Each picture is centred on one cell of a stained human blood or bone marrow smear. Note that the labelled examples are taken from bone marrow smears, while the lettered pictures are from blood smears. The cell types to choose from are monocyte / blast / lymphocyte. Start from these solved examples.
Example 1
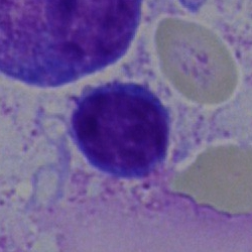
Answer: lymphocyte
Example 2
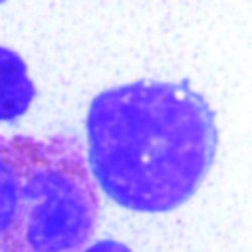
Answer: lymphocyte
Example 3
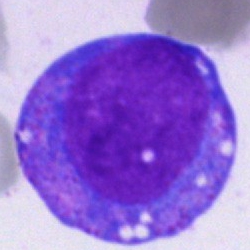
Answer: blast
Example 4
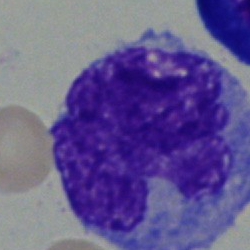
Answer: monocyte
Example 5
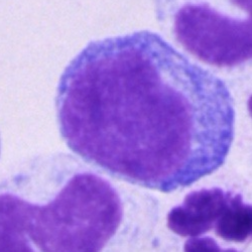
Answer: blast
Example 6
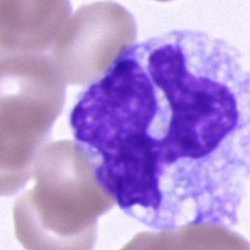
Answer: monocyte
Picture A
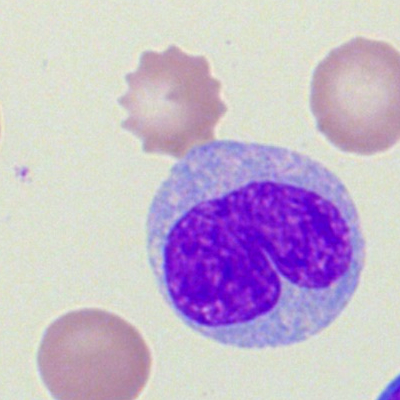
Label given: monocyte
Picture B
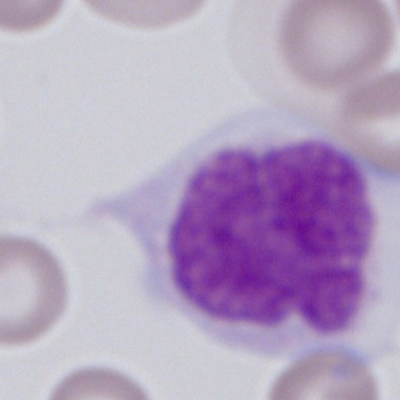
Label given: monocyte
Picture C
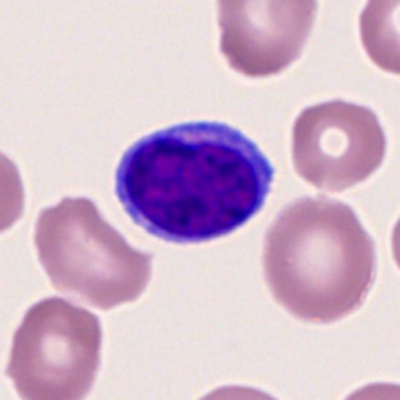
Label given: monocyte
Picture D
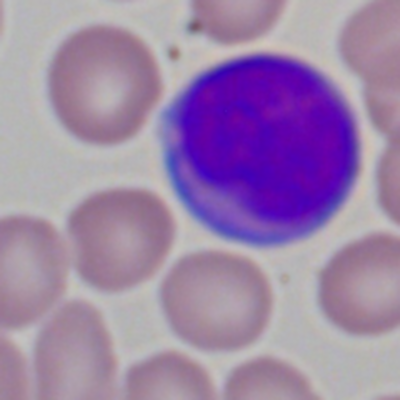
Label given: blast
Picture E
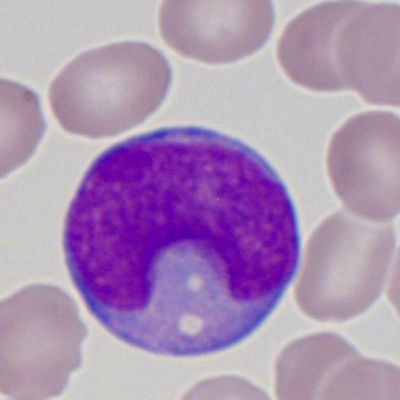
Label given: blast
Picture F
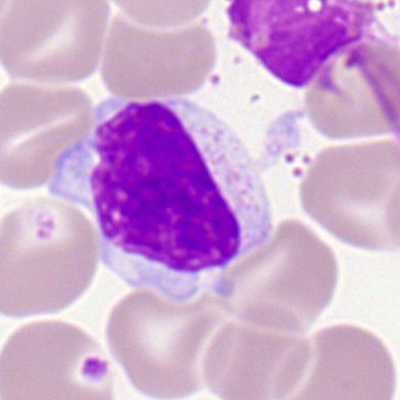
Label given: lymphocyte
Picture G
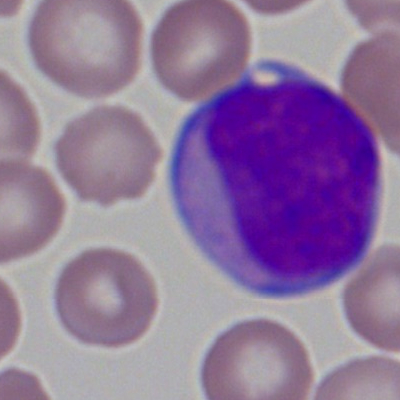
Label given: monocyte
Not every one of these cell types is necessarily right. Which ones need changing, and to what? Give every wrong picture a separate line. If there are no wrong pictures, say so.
C: lymphocyte, not monocyte
G: blast, not monocyte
